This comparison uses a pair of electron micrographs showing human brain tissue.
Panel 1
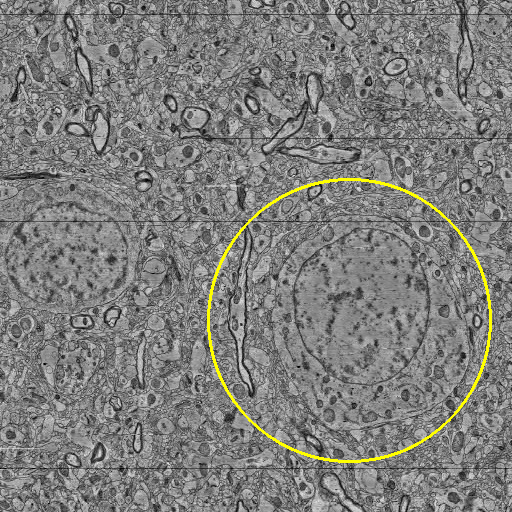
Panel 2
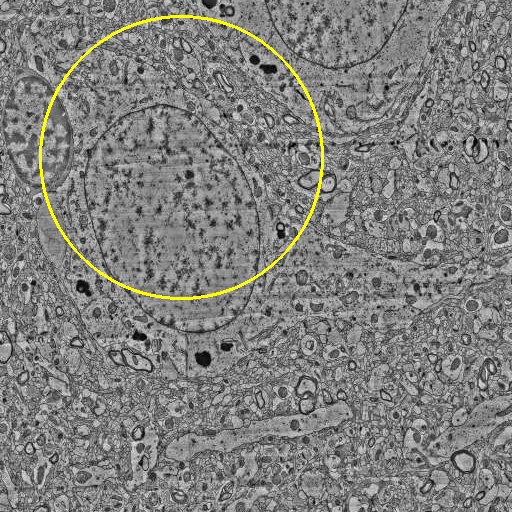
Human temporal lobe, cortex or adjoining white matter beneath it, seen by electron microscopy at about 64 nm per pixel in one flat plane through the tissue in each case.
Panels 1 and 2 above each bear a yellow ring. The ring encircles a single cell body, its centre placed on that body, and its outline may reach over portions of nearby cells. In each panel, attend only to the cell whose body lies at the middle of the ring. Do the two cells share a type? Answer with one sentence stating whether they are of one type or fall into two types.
In Panel 1 and Panel 2, the cells at the centres of the rings are of one type.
